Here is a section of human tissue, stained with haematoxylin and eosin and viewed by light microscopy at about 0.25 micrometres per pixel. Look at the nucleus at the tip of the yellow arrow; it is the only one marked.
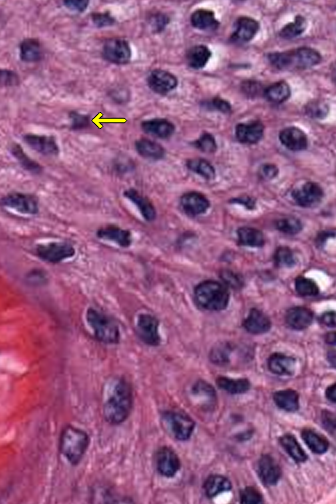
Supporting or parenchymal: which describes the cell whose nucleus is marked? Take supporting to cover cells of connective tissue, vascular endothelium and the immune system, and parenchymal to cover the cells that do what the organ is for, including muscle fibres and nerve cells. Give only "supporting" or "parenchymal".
parenchymal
